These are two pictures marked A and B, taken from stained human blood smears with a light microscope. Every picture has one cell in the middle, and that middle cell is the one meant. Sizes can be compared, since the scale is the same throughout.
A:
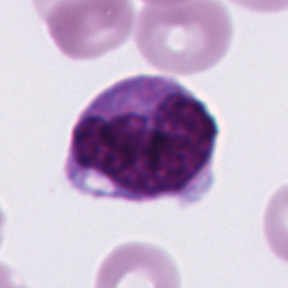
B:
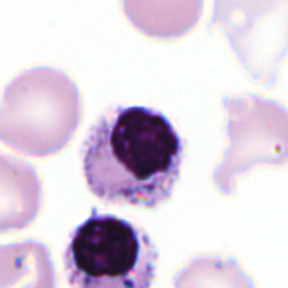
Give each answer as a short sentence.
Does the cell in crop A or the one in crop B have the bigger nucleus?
Larger is the nucleus in crop A, at roughly 3 times the area of the other.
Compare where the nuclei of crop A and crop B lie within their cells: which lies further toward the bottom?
Seen within its cell, the nucleus in crop A lies further toward the bottom.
